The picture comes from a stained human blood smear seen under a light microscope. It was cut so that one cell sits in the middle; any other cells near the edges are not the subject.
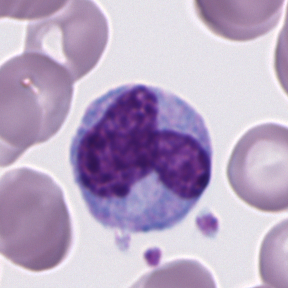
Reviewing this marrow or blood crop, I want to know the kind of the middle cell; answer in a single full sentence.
In this crop, the cell at the very middle is a monocyte.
